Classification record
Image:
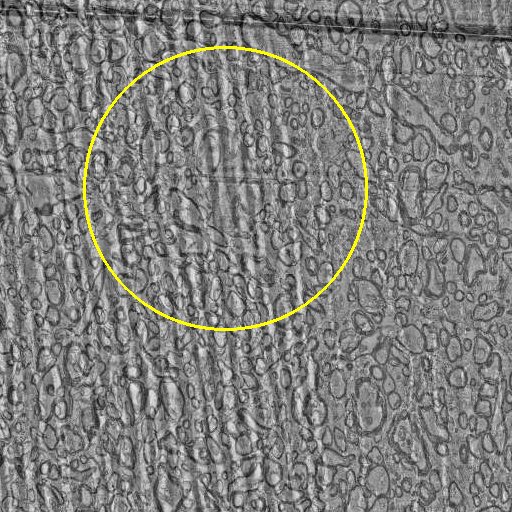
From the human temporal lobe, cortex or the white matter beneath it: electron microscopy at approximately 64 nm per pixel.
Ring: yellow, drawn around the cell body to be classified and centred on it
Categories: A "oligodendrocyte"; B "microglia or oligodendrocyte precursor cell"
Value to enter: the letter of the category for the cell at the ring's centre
B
